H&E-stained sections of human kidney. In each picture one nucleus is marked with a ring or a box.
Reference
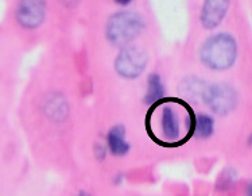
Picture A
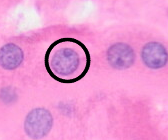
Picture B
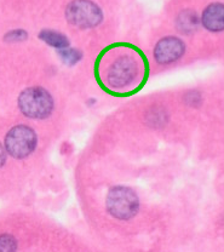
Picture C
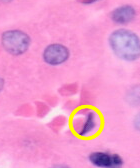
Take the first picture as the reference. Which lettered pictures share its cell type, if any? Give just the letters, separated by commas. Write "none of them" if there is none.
none of them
